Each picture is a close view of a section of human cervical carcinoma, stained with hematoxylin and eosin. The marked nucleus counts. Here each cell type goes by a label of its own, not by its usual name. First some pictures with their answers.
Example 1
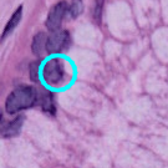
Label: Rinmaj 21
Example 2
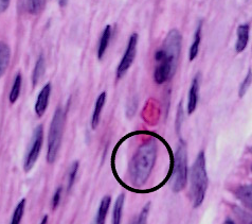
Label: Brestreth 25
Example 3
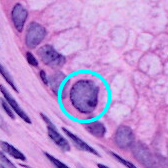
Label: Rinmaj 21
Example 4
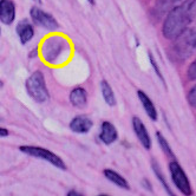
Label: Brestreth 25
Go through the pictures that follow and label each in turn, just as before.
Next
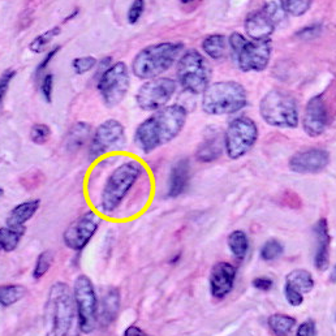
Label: Brestreth 25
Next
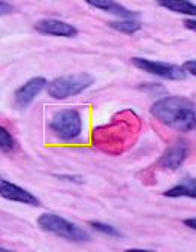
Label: Brestreth 25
